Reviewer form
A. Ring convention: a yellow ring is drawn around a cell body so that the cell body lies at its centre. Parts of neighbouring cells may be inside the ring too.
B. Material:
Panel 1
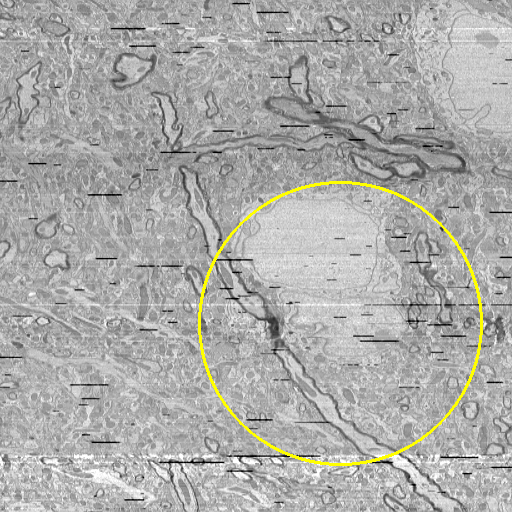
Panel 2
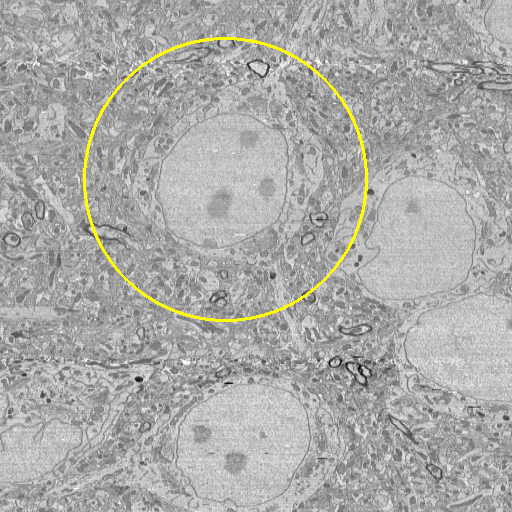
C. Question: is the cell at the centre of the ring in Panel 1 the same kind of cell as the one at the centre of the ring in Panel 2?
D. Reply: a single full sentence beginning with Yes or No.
No, the cells in Panel 1 and Panel 2 are two kinds of cell.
